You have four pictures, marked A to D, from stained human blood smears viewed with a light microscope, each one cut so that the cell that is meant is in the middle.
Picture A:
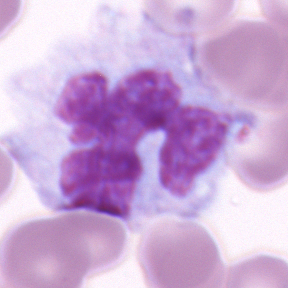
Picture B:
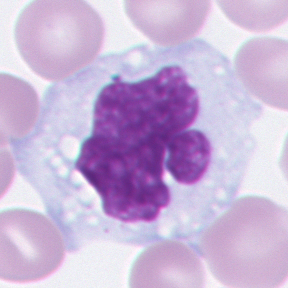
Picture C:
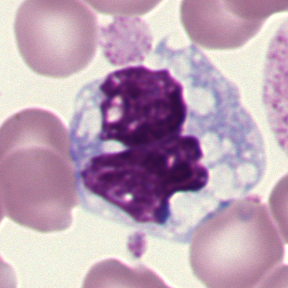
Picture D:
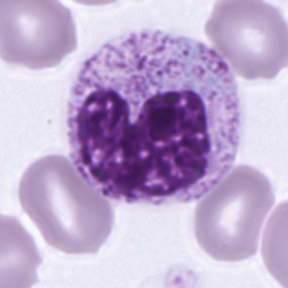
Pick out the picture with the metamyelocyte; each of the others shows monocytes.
D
